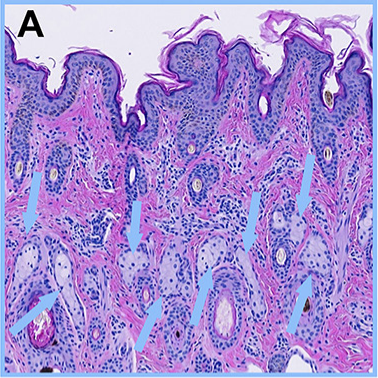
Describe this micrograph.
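This is a section of skin with an epidermis along the top, sebaceous glands and hair follicles lying in the dermis beneath. The epidermis is a purple, stratified epithelium with an uneven, folded surface and a thin pink cornified layer on top. The dermis below is made of pink collagen bundles scattered with small dark nuclei. Many hair follicles are cut across or at a slant, and some contain brownish hair shafts. Pale, rounded lobules of sebaceous gland cells with light cytoplasm sit beside the follicles in the middle of the dermis.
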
